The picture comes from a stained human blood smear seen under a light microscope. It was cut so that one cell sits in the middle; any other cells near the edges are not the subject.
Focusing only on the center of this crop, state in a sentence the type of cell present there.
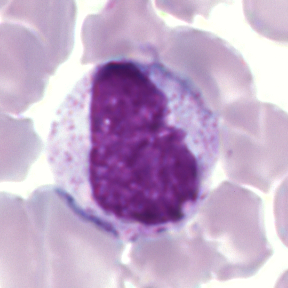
The cell sitting right in the middle is a metamyelocyte.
